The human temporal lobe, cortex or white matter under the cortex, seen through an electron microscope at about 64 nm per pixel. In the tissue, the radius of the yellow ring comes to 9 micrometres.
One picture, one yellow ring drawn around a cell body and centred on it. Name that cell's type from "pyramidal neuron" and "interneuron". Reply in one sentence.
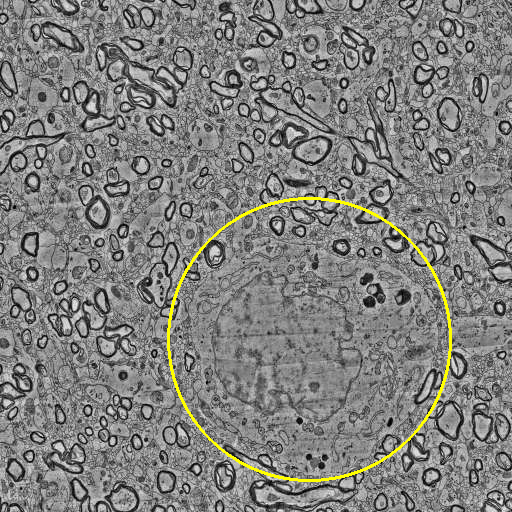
Centred in the ring is an interneuron.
